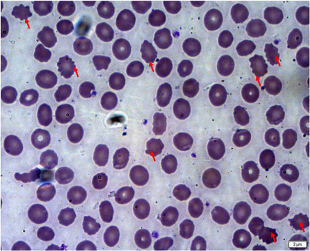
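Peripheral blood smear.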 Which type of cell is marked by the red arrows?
Acanthocytes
